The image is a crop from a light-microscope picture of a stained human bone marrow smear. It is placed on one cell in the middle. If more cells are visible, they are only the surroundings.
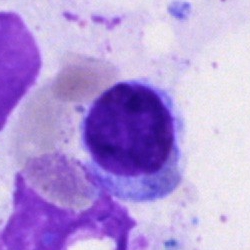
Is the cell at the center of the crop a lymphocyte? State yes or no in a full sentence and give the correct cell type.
Yes, the middle cell is properly termed a lymphocyte.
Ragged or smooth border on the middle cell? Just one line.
Smooth outline, no projections: that is the whole story of its edge.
